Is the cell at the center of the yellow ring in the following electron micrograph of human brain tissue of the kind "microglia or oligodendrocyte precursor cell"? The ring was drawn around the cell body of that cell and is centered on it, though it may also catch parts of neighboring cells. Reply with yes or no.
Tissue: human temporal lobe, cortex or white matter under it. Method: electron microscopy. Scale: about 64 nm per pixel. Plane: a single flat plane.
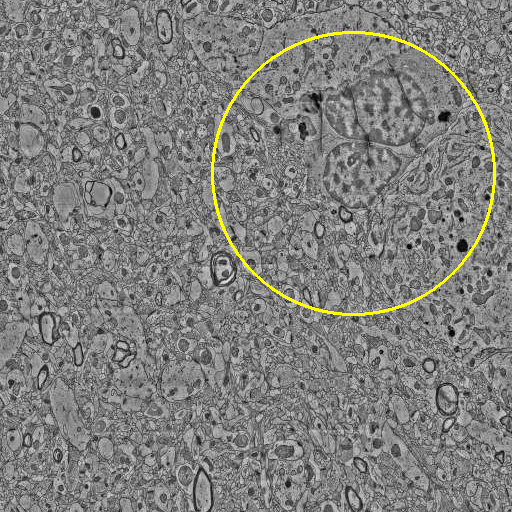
No, it is of another kind.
